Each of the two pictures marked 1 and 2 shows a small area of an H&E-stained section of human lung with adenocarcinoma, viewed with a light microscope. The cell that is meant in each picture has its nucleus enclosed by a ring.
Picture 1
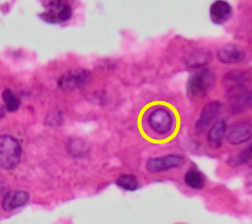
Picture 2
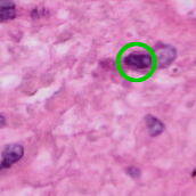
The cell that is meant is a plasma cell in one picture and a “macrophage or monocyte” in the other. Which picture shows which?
1: macrophage or monocyte
2: plasma cell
